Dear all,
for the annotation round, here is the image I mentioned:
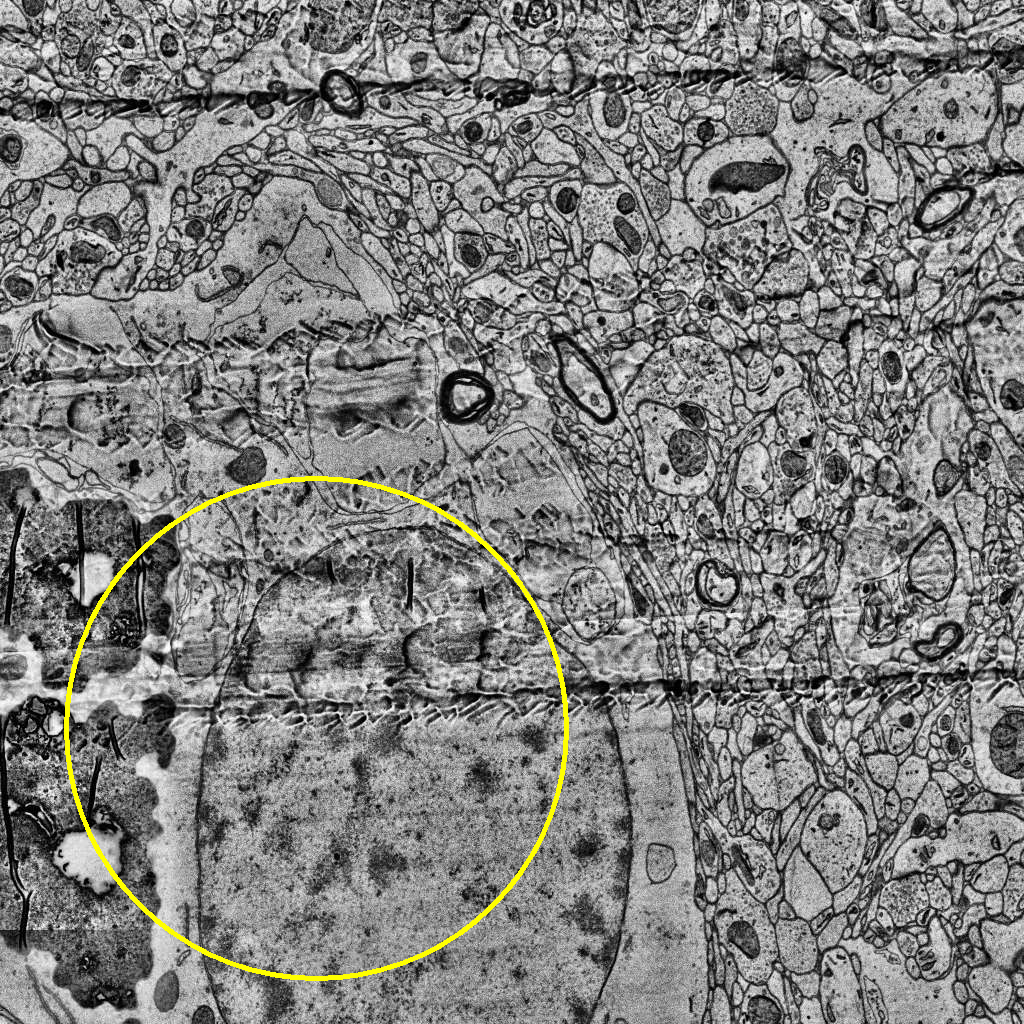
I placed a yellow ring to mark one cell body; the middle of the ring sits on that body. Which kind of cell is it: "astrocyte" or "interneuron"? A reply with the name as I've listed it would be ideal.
astrocyte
